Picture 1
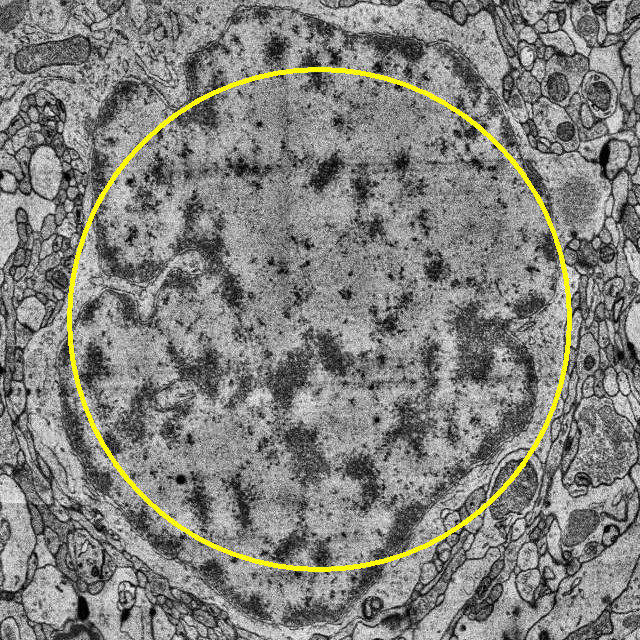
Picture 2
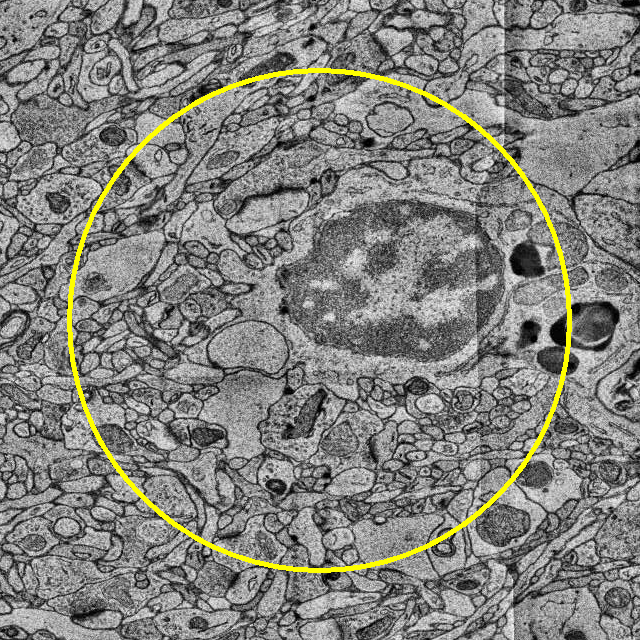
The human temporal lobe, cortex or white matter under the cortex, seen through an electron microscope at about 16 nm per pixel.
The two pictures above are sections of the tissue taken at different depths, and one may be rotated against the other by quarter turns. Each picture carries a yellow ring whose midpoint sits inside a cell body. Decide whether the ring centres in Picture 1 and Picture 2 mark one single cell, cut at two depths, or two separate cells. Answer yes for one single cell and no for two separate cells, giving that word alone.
no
